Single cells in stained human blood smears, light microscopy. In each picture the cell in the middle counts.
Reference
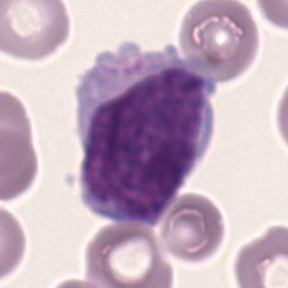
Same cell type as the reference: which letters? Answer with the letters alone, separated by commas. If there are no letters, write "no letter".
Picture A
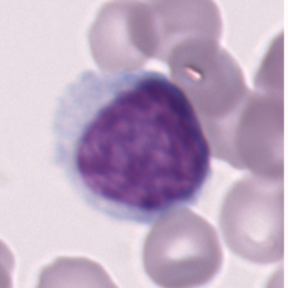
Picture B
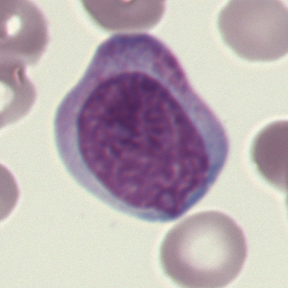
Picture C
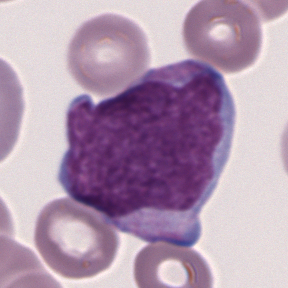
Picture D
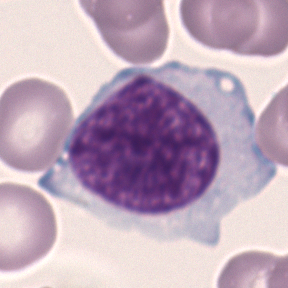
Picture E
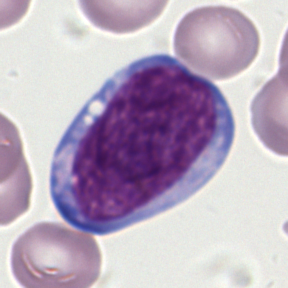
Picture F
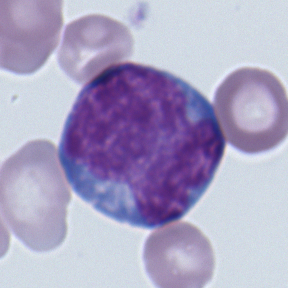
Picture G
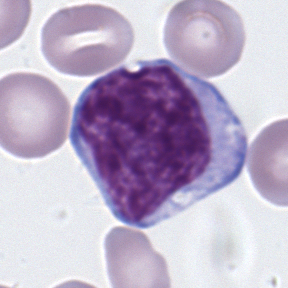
B, C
